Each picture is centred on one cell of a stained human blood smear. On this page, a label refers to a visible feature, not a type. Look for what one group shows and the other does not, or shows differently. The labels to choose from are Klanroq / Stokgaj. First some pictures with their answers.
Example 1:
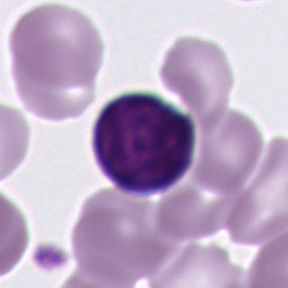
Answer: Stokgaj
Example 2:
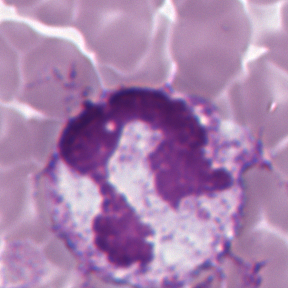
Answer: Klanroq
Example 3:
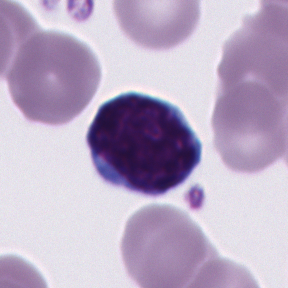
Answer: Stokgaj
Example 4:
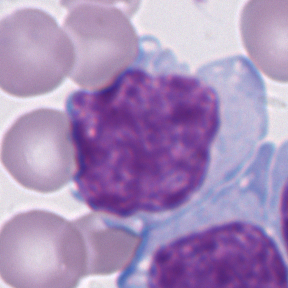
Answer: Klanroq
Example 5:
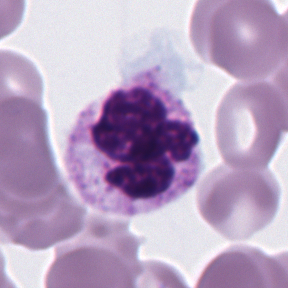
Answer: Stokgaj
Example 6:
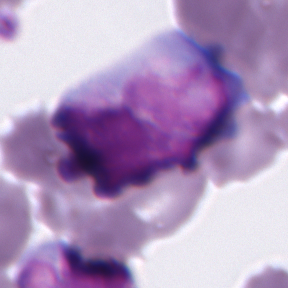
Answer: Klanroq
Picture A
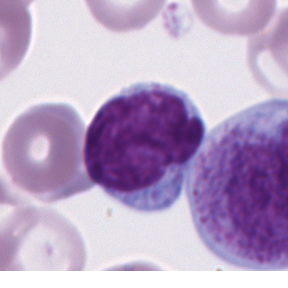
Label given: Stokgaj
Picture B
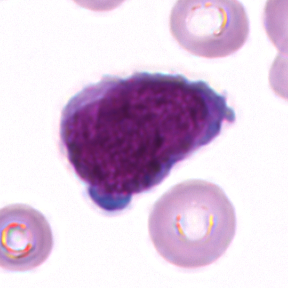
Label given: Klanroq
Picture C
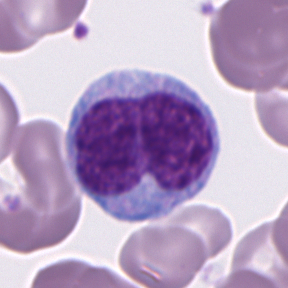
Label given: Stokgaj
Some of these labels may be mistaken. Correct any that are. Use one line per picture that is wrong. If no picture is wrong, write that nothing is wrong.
Nothing to fix; every label fits.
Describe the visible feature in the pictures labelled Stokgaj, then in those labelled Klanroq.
Stokgaj: smooth outline; Klanroq: ragged outline or projections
